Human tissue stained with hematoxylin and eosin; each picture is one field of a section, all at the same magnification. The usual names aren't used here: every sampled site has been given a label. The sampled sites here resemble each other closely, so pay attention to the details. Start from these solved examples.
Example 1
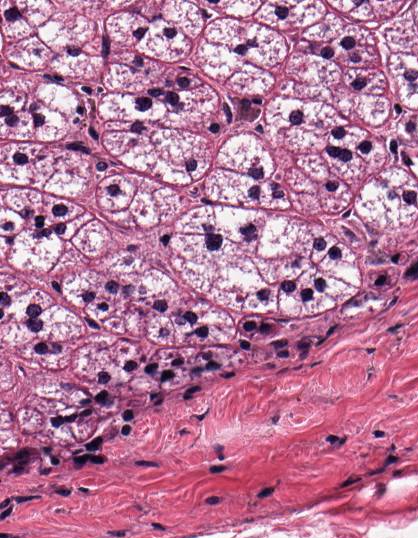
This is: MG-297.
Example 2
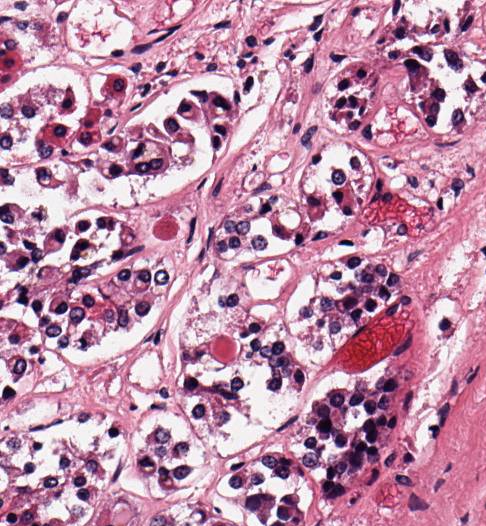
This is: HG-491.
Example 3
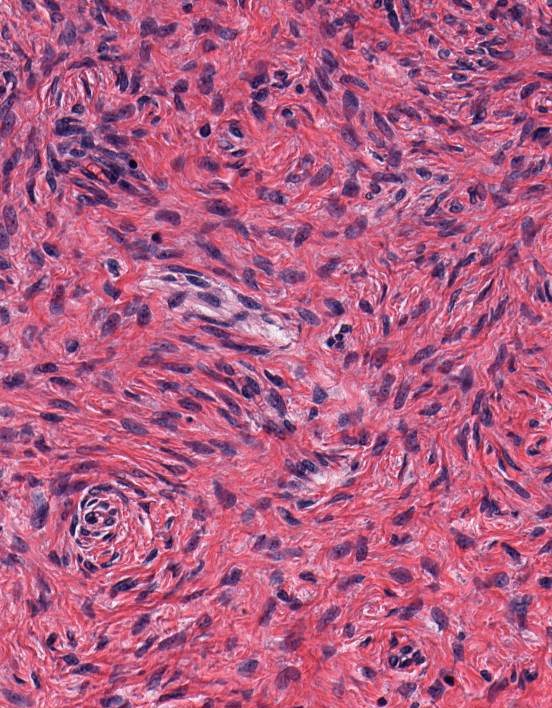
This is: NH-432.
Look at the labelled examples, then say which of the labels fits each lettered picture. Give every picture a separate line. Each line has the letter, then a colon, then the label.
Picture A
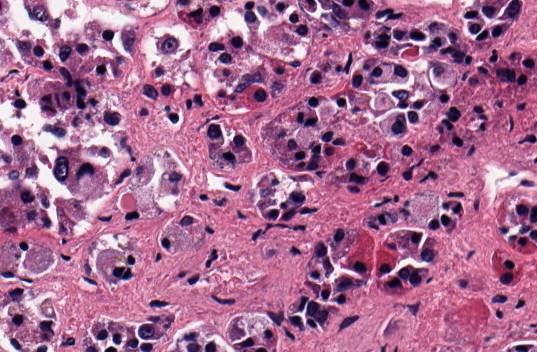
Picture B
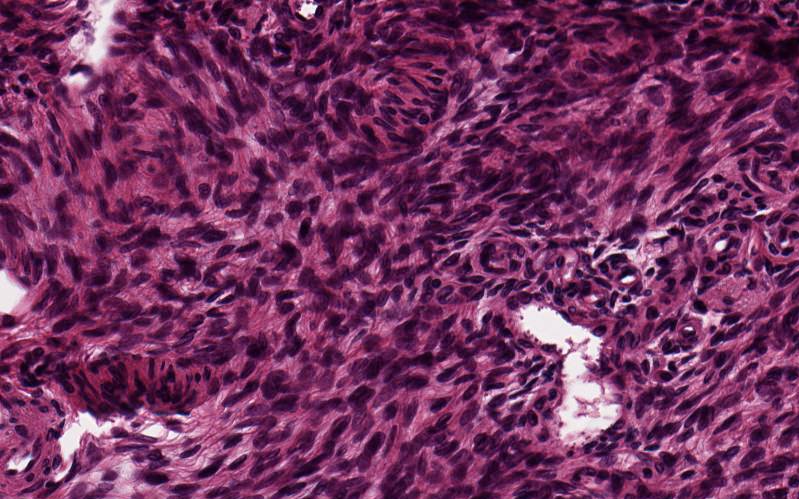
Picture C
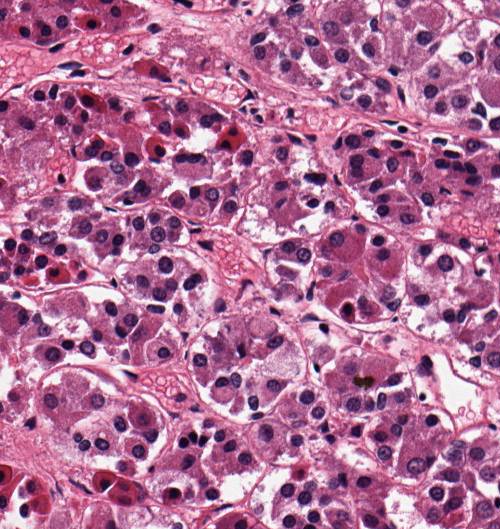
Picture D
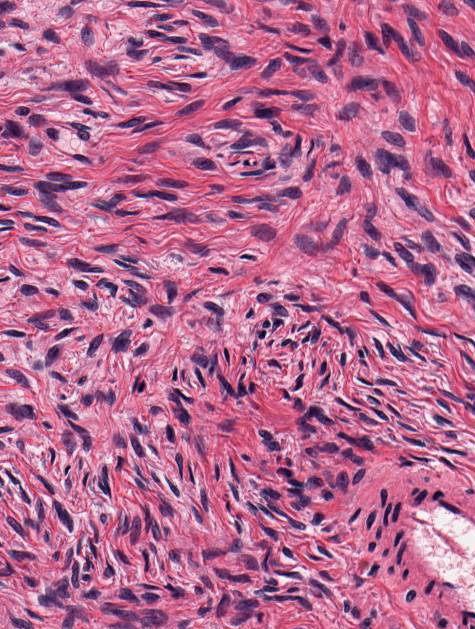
A: HG-491.
B: NH-432.
C: HG-491.
D: NH-432.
